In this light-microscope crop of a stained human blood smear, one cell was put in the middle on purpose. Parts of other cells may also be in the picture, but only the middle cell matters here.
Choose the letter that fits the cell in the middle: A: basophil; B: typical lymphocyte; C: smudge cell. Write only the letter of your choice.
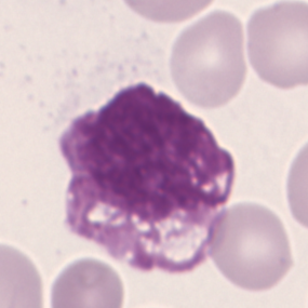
C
